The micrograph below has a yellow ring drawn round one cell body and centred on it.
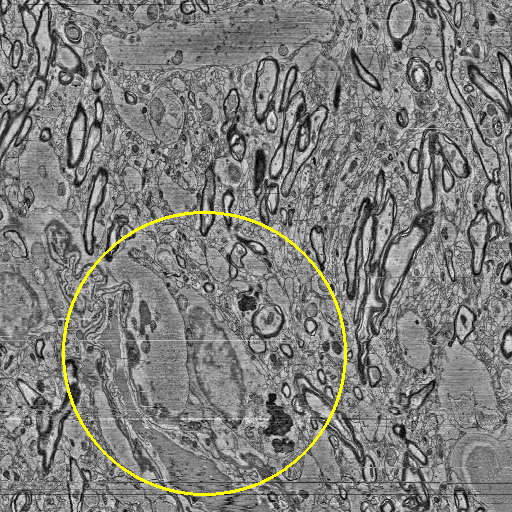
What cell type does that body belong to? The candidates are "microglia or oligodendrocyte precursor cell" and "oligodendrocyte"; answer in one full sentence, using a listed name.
This is an oligodendrocyte, the cell whose body lies at the centre of the ring.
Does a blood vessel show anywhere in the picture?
Yes.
